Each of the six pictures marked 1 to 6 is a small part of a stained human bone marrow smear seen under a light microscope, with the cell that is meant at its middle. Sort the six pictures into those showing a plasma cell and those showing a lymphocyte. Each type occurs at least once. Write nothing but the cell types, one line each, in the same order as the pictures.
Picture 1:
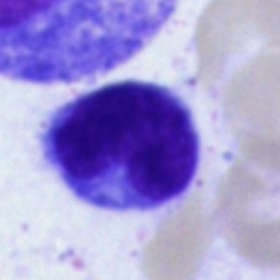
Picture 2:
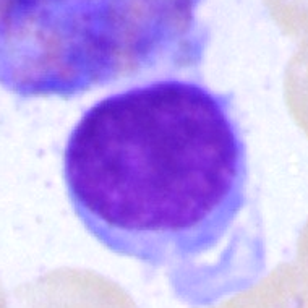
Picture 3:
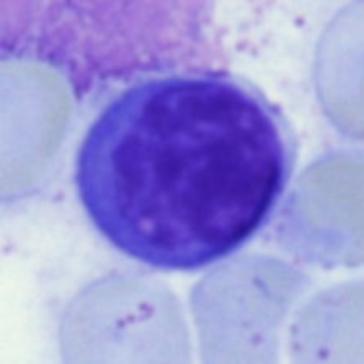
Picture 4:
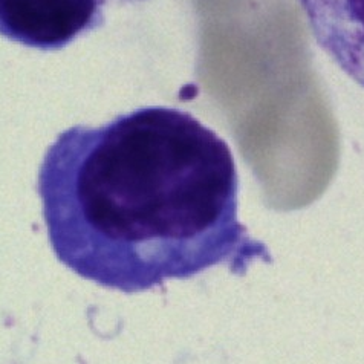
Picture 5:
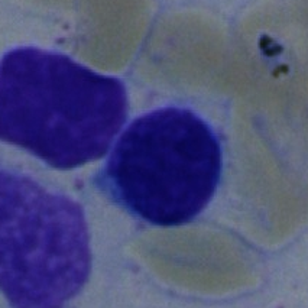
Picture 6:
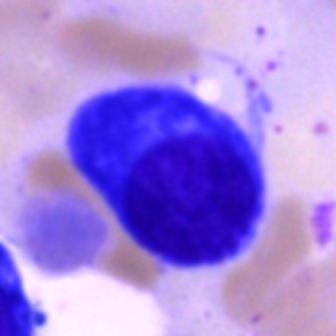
lymphocyte
lymphocyte
lymphocyte
plasma cell
lymphocyte
plasma cell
